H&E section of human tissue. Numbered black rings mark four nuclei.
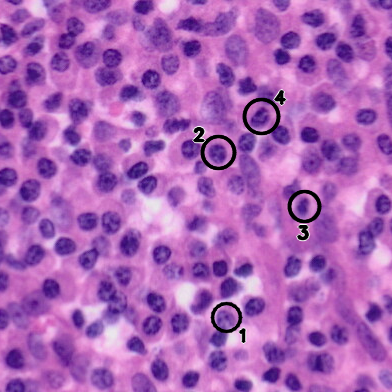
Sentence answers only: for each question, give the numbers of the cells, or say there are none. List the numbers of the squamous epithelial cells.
Only one choice fits: cell 3 is a squamous epithelial cell, and no other.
